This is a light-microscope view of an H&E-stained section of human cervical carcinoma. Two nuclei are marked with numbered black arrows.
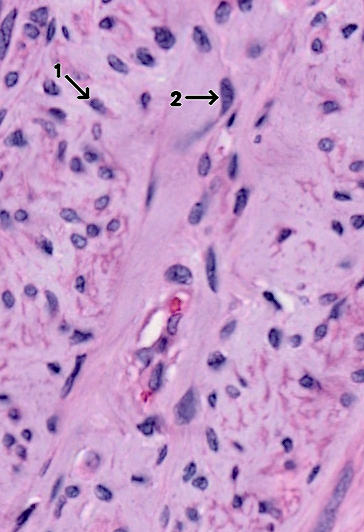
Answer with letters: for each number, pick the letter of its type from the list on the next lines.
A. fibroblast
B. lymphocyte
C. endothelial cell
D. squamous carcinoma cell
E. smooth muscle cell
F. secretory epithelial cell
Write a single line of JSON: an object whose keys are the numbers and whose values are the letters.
{"1": "E", "2": "A"}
